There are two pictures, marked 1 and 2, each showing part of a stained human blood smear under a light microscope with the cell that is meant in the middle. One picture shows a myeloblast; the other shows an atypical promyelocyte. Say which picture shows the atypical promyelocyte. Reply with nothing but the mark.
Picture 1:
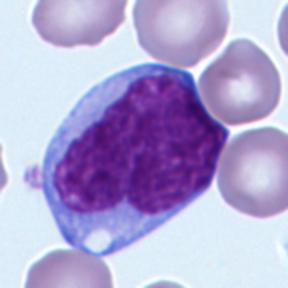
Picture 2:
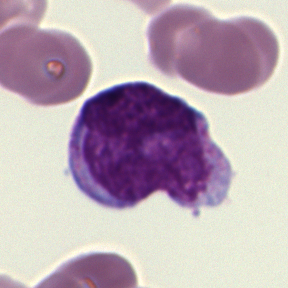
2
